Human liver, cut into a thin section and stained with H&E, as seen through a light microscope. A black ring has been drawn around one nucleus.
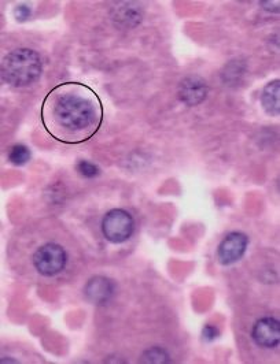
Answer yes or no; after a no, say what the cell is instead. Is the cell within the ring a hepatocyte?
Yes.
